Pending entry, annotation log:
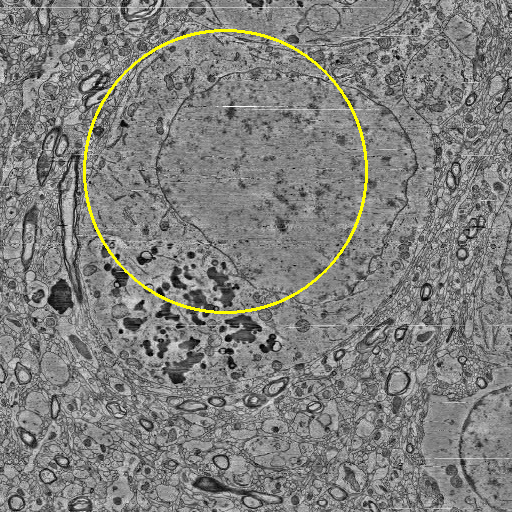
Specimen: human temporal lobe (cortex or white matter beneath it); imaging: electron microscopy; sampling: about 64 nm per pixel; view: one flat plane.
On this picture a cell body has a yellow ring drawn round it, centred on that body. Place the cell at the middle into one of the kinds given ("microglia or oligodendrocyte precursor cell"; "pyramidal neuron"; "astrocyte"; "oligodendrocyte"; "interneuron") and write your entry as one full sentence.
The cell body at the middle of the yellow ring belongs to a pyramidal neuron.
